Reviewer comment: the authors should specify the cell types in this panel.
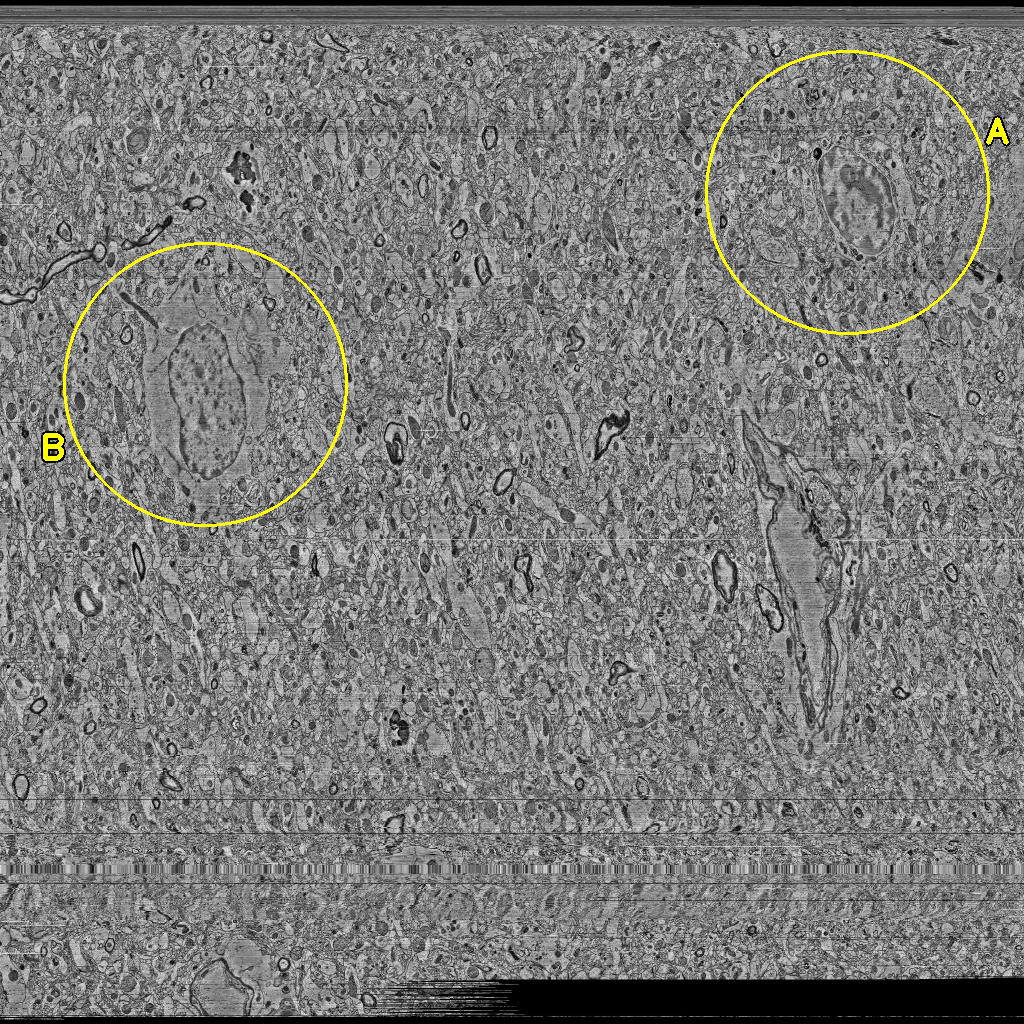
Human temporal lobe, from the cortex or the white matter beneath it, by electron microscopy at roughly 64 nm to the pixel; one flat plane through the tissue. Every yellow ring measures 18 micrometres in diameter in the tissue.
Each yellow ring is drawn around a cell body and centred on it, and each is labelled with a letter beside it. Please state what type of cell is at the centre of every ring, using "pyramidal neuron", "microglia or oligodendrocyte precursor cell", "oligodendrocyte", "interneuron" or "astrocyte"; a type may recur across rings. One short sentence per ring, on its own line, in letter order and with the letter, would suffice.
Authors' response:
The cell centred within ring A is a microglial cell or oligodendrocyte precursor cell.
The cell centred within ring B is an astrocyte.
